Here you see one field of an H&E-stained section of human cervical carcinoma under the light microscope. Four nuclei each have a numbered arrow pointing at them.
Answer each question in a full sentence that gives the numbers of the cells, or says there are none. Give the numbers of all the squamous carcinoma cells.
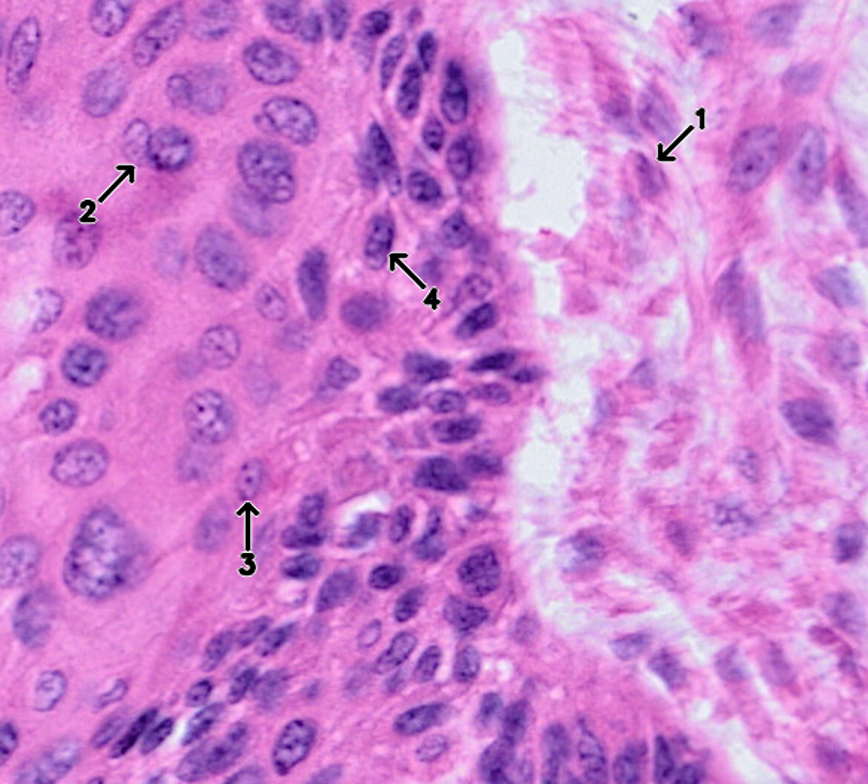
Each of the cells numbered 2, 3 and 4 is among the squamous carcinoma cells.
